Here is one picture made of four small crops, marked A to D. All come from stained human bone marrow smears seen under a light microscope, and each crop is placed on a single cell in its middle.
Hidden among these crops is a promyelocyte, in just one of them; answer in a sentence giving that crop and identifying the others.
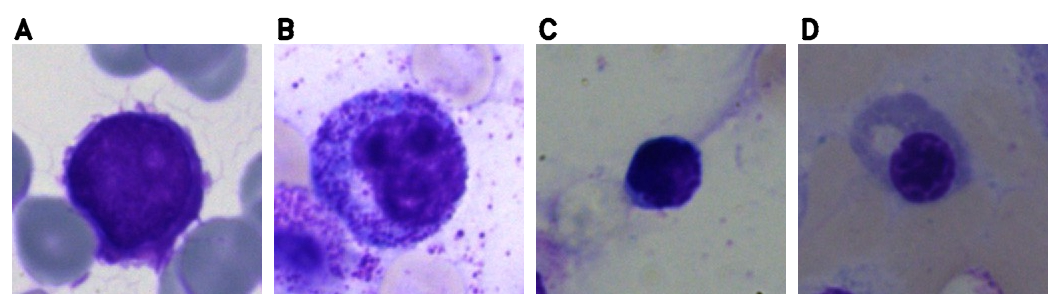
To sum up, crop B shows a promyelocyte, while crop A is a blast, crop C is a lymphocyte and crop D is an erythroblast.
